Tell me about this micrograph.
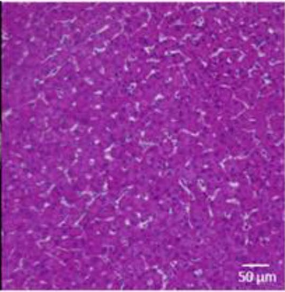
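Liver parenchyma composed of hepatocytes arranged in regular cords separated by thin sinusoidal spaces. The cords run in an orderly pattern without crowding or gland formation.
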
